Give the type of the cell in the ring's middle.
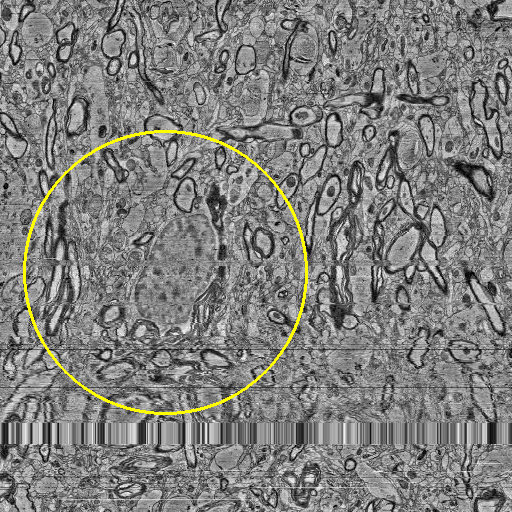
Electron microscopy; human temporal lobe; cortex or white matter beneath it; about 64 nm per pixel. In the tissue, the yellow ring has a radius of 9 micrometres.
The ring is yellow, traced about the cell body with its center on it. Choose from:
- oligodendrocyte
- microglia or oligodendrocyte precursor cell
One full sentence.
Here, an oligodendrocyte is the cell lying at the center of the yellow ring.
